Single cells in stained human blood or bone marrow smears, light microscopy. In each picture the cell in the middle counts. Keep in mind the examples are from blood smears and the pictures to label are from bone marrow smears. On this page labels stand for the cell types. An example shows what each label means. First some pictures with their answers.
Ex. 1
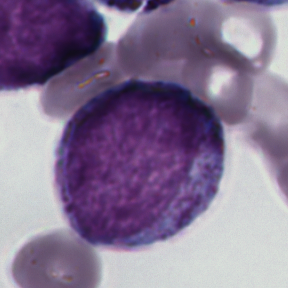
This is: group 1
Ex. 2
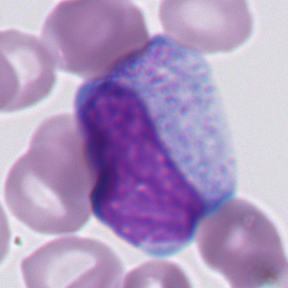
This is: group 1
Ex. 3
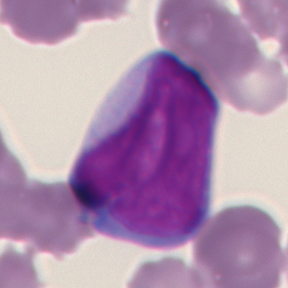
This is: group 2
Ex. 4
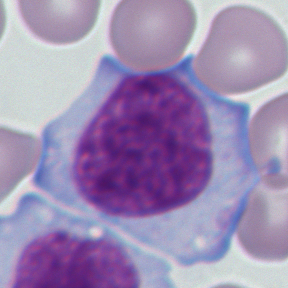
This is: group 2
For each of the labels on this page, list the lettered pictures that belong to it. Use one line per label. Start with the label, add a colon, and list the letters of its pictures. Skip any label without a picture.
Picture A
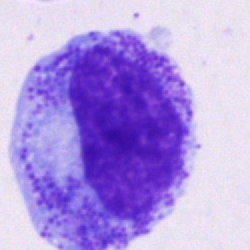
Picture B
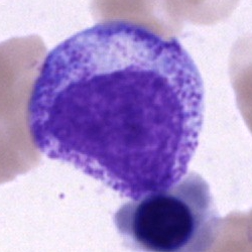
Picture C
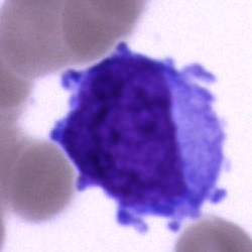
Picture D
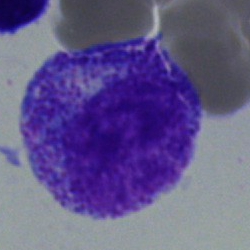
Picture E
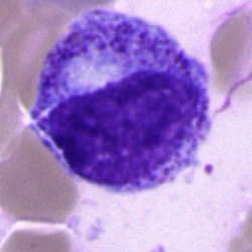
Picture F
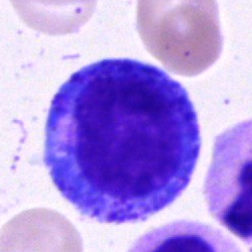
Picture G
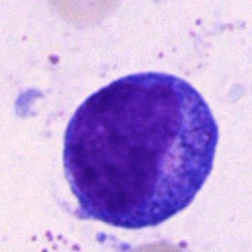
group 1: A, B, D, E, F, G
group 2: C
